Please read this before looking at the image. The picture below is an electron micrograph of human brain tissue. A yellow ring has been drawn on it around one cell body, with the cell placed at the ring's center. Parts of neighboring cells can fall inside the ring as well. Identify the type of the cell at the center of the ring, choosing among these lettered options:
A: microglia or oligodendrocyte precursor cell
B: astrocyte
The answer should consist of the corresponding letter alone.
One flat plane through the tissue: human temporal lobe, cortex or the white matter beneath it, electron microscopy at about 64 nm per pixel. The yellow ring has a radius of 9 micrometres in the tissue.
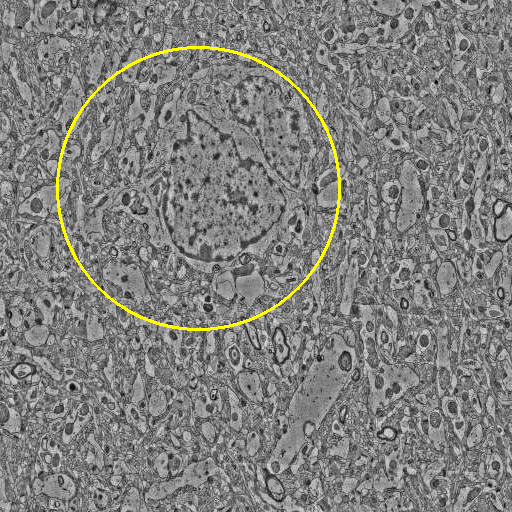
B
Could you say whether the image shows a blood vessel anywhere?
No, no blood vessel can be seen.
